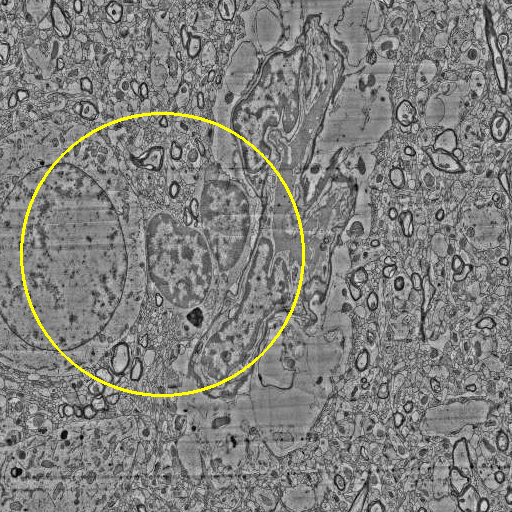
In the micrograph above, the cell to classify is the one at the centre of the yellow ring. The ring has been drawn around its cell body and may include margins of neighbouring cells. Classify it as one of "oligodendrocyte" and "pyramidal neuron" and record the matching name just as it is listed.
oligodendrocyte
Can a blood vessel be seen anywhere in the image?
Yes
